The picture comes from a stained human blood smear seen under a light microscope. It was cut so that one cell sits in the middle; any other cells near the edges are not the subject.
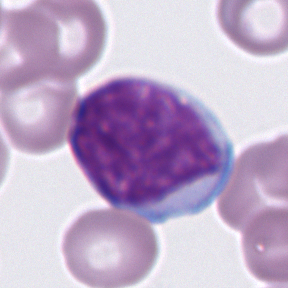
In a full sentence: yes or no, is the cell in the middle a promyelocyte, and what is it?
No, the cell of interest here is a blast and not a promyelocyte.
